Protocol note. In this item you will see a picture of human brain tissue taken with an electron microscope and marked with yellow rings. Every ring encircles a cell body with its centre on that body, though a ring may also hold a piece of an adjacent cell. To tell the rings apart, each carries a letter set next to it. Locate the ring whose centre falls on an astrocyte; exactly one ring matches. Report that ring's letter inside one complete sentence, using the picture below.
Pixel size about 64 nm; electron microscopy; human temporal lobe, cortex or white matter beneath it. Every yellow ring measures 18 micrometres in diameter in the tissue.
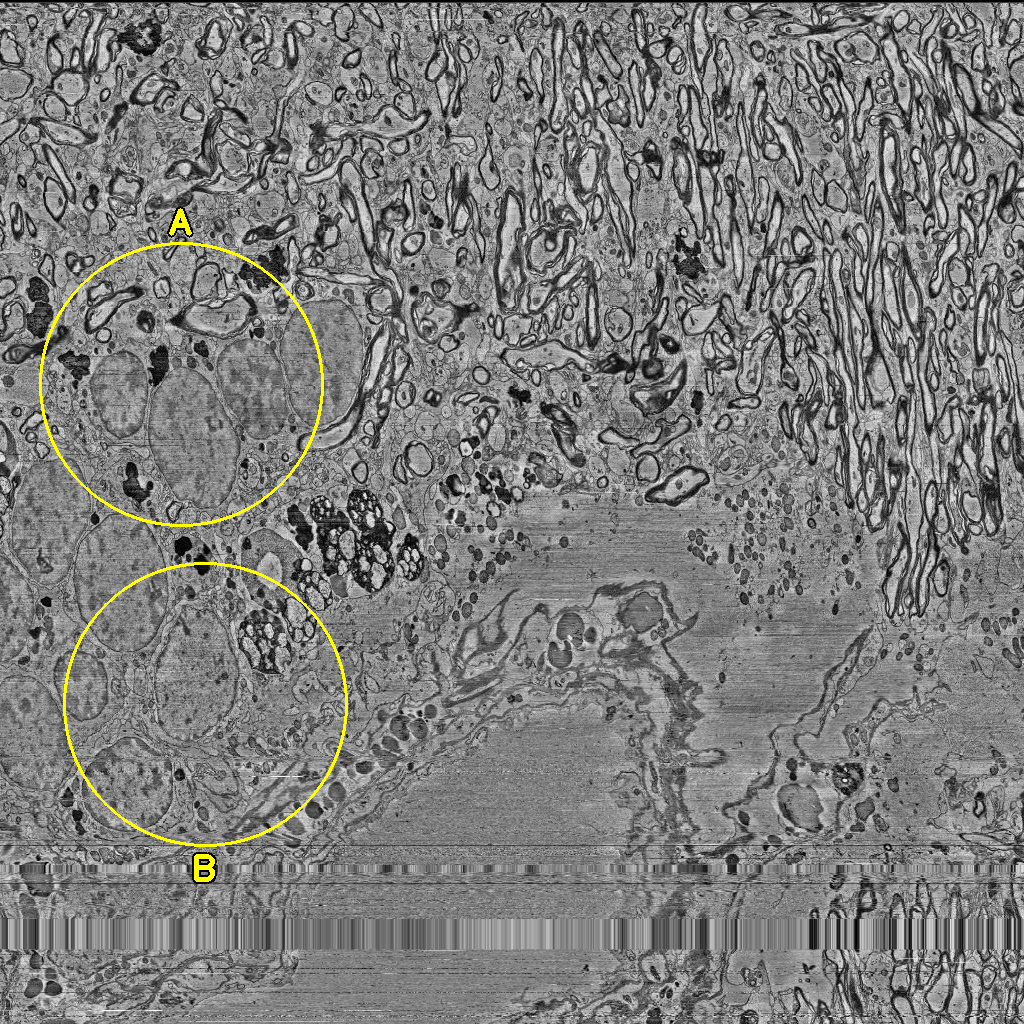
My answer is B, the ring whose centre falls on that kind of cell.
